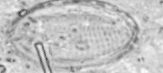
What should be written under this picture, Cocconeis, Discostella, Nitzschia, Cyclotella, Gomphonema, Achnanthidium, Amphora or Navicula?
Cocconeis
